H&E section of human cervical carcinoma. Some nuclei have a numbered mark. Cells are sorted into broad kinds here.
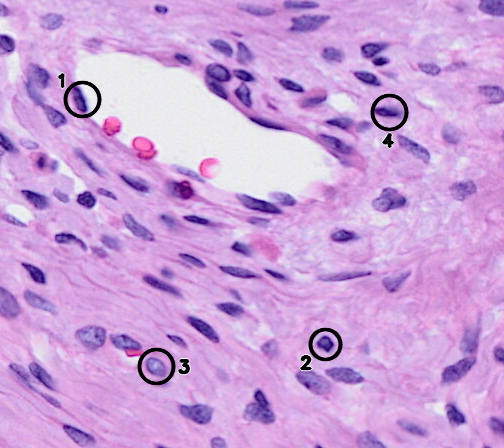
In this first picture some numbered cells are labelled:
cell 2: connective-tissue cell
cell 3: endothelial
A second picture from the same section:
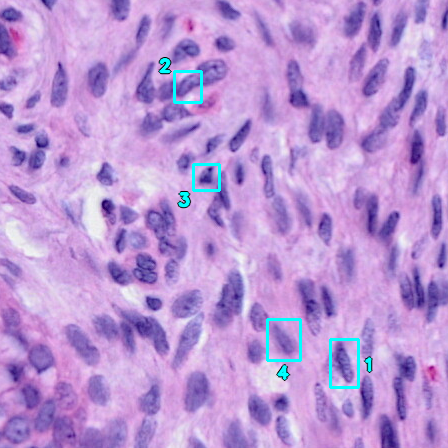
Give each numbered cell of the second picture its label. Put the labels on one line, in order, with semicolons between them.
connective-tissue cell; endothelial; connective-tissue cell; connective-tissue cell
